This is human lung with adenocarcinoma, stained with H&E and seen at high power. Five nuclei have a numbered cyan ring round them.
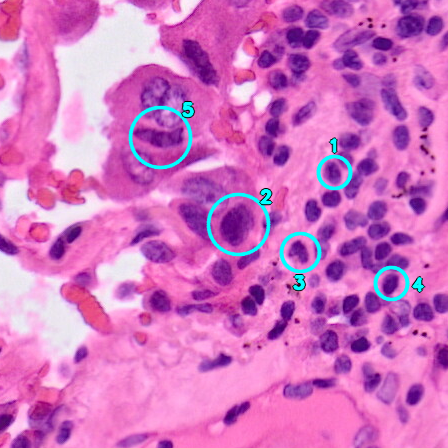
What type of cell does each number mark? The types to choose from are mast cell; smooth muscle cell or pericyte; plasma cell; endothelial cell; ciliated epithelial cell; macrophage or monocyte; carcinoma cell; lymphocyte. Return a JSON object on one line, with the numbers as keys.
{"1": "lymphocyte", "2": "carcinoma cell", "3": "lymphocyte", "4": "lymphocyte", "5": "carcinoma cell"}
